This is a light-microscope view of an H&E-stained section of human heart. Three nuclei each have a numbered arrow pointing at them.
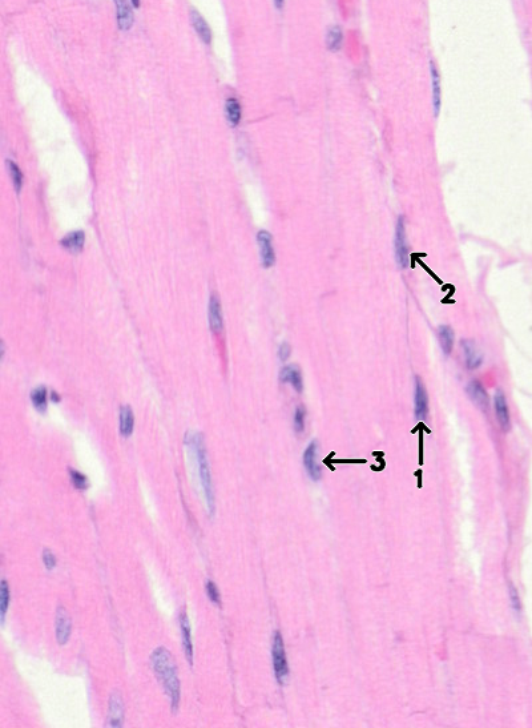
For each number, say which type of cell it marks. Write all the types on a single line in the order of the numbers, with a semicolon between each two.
endothelial cell; fibroblast; fibroblast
